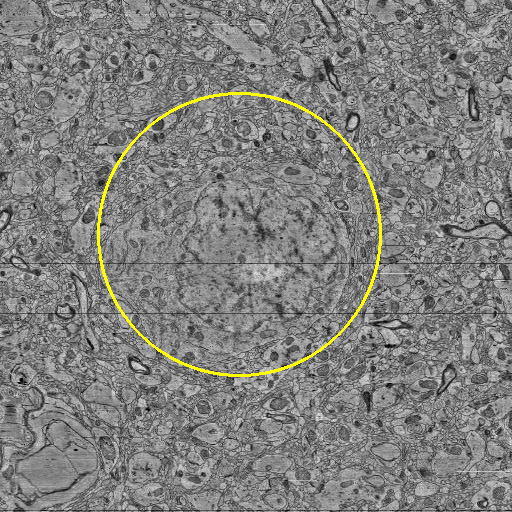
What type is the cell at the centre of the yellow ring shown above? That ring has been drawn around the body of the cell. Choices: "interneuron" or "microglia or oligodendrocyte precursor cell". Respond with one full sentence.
My answer is that an interneuron lies at the centre of the yellow ring above.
